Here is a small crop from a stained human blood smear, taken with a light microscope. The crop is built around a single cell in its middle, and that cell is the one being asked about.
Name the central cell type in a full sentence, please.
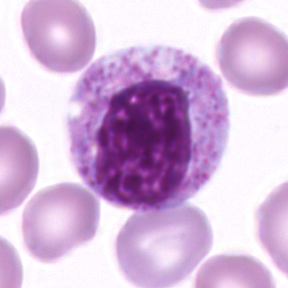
At the middle of the frame sits a metamyelocyte.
